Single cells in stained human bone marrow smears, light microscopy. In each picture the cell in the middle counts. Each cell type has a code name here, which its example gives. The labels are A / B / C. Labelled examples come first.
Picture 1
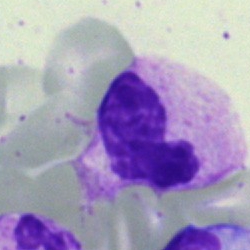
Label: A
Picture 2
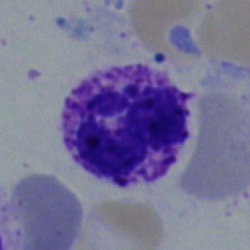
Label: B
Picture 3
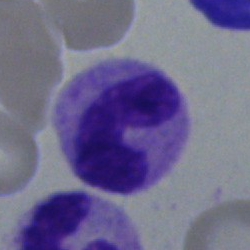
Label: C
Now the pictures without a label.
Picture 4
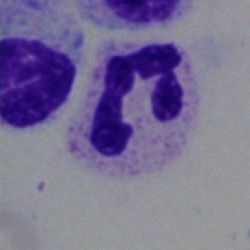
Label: A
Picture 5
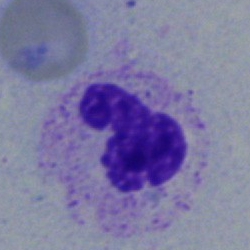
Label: A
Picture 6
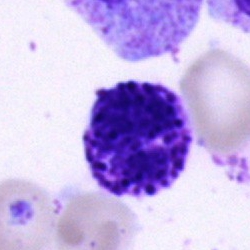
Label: B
